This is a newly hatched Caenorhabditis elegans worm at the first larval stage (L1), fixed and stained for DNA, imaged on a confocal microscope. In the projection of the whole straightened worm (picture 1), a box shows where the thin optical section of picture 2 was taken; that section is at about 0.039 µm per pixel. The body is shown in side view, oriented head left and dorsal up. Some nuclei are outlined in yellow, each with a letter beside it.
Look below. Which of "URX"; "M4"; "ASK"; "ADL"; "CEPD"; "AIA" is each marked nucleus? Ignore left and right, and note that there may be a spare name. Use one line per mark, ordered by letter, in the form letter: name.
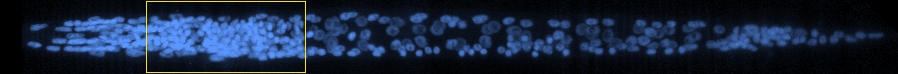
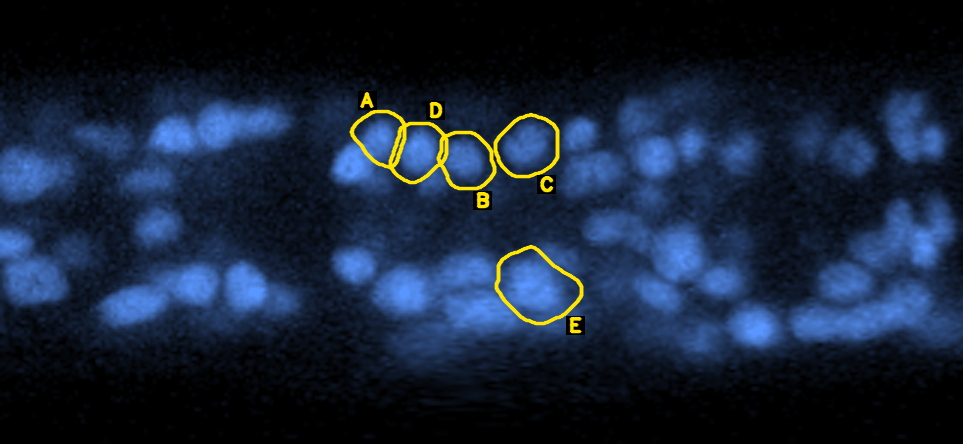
A: CEPD
B: ASK
C: ADL
D: URX
E: AIA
